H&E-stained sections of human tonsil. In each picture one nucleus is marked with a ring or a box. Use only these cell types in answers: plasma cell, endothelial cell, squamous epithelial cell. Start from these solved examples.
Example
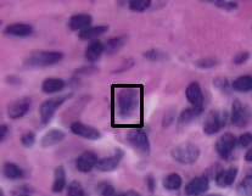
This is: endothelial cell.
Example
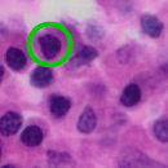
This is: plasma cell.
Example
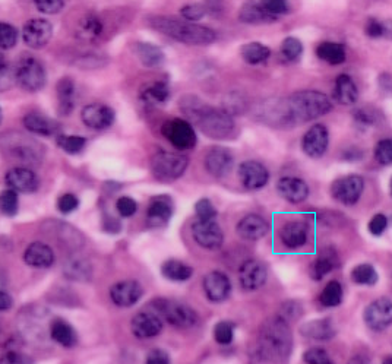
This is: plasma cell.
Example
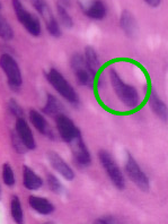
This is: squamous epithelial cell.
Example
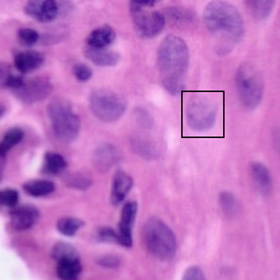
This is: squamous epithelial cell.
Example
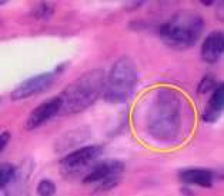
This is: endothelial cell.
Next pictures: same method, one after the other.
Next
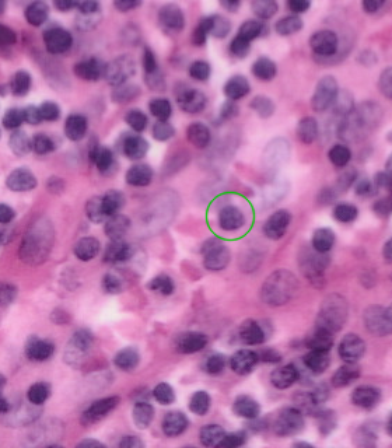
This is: endothelial cell.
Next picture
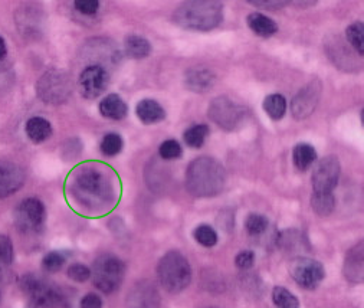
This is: squamous epithelial cell.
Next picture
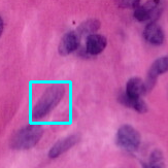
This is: endothelial cell.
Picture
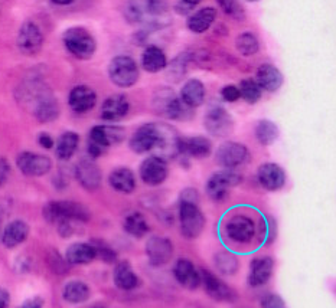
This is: plasma cell.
